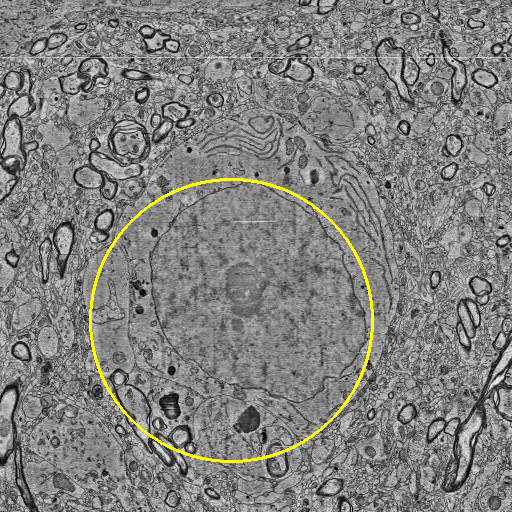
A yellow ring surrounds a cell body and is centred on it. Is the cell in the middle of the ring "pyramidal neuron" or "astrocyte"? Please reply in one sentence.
The ring is centred on a pyramidal neuron.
